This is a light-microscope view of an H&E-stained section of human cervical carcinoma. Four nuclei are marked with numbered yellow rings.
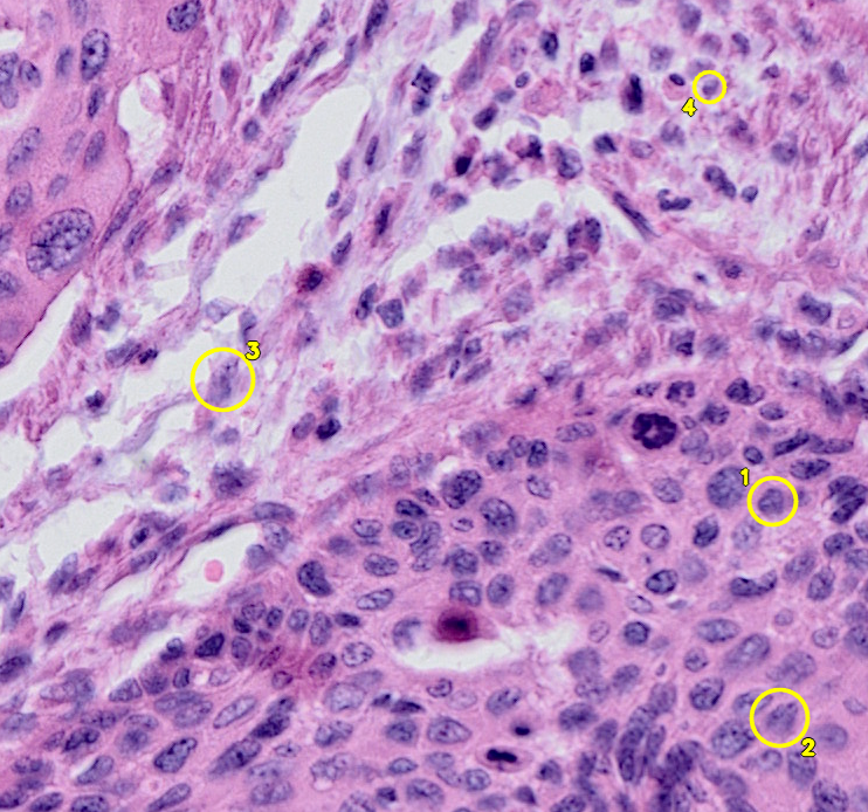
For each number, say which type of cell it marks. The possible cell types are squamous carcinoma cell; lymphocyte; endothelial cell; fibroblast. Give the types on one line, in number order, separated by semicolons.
squamous carcinoma cell; squamous carcinoma cell; fibroblast; fibroblast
